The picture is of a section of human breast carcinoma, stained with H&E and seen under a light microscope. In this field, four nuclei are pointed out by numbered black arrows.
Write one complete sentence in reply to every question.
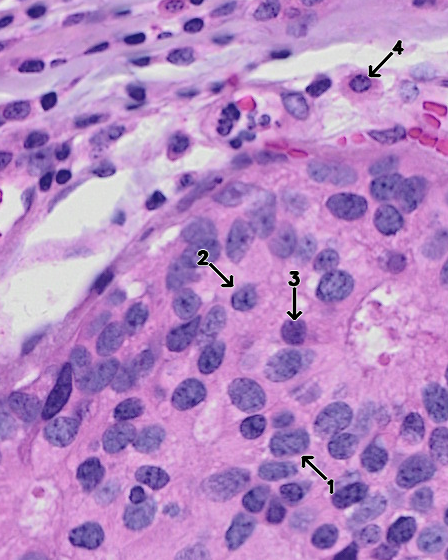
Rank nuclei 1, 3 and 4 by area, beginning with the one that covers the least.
From smallest to largest, the order is 4, 3, 1.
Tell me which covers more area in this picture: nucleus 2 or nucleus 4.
At about 2 times the area of nucleus 4, nucleus 2 is the larger of the two.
